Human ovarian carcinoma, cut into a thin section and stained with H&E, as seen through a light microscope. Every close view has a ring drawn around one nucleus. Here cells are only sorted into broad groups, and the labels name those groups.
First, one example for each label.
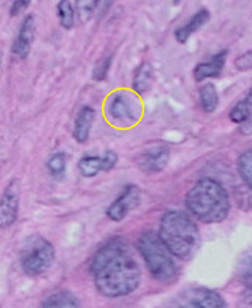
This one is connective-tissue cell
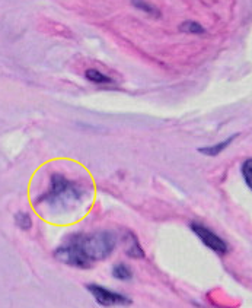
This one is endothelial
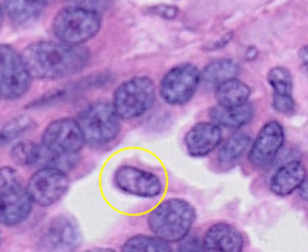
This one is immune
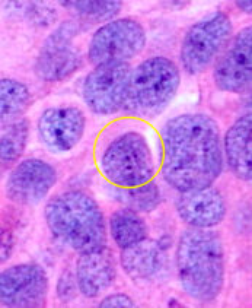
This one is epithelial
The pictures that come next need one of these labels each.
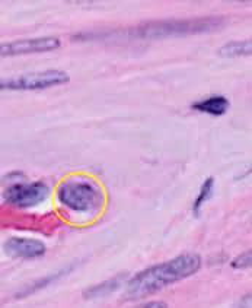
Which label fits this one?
endothelial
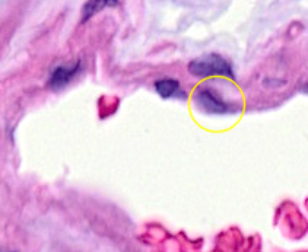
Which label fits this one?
endothelial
